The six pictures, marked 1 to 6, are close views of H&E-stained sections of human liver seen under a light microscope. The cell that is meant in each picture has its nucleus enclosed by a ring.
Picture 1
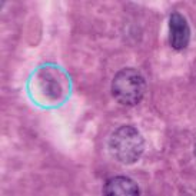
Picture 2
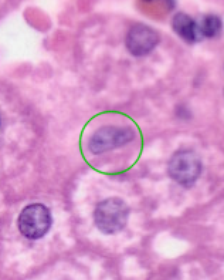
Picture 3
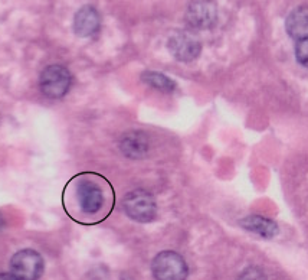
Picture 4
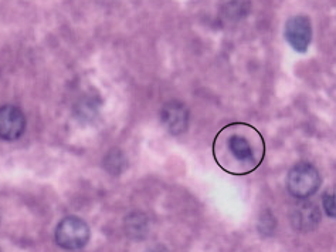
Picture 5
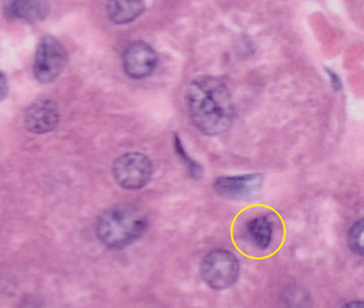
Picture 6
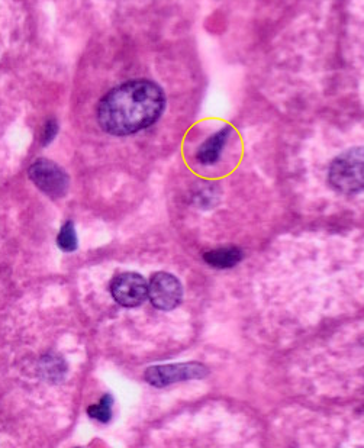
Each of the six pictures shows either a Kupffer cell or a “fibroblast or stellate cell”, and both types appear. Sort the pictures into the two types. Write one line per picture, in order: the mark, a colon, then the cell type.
1: Kupffer cell
2: Kupffer cell
3: fibroblast or stellate cell
4: fibroblast or stellate cell
5: fibroblast or stellate cell
6: fibroblast or stellate cell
